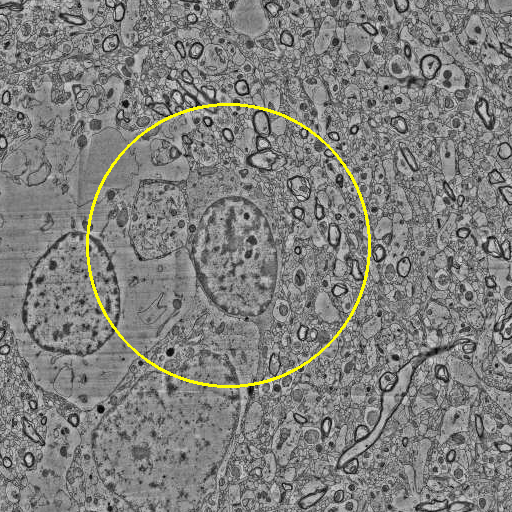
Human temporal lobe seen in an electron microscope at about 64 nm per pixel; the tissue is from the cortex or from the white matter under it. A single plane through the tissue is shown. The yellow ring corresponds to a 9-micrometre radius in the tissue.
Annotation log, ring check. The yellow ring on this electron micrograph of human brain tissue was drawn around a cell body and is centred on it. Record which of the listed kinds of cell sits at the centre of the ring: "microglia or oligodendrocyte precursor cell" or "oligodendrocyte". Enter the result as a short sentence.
The cell at the centre of the ring is an oligodendrocyte.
